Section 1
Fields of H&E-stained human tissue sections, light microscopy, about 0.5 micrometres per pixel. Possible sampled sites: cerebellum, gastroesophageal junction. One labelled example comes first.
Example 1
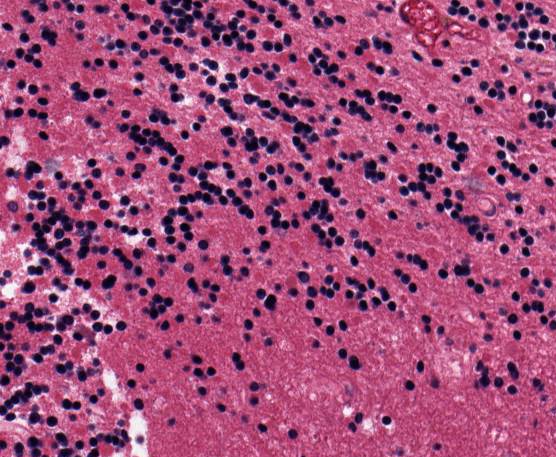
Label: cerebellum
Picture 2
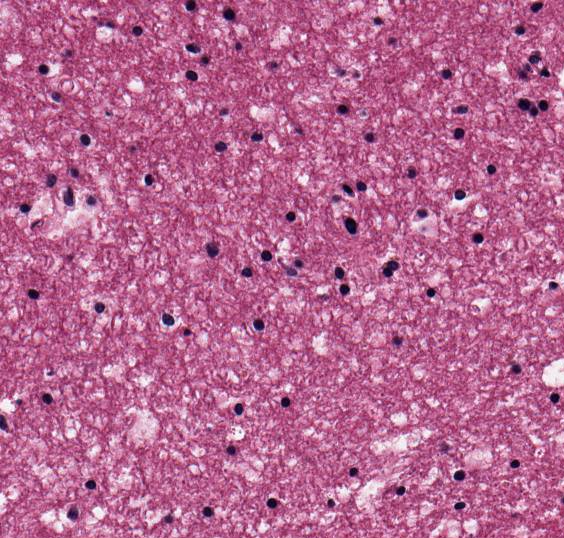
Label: cerebellum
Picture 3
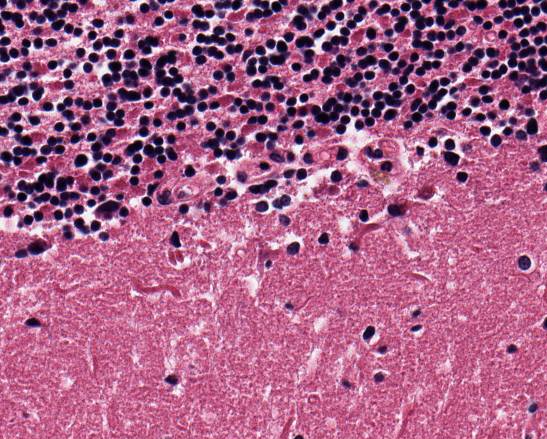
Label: cerebellum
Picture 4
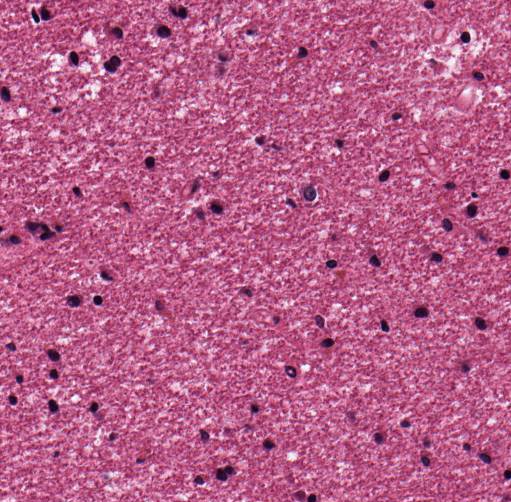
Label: cerebellum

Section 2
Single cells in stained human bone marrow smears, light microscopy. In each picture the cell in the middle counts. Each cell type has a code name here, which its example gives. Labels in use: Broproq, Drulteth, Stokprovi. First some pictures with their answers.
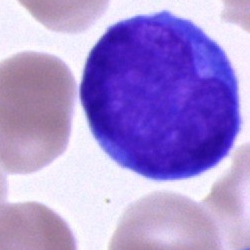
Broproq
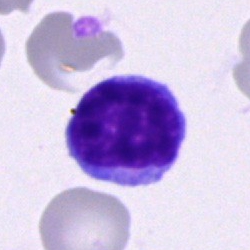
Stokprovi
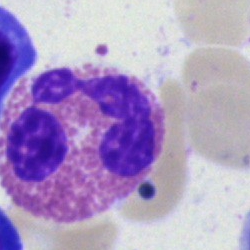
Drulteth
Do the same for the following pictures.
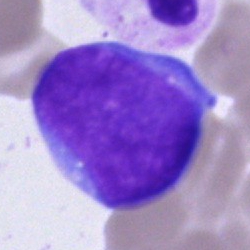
Broproq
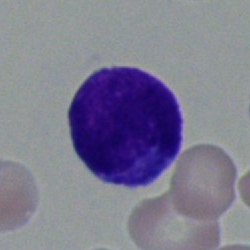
Broproq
